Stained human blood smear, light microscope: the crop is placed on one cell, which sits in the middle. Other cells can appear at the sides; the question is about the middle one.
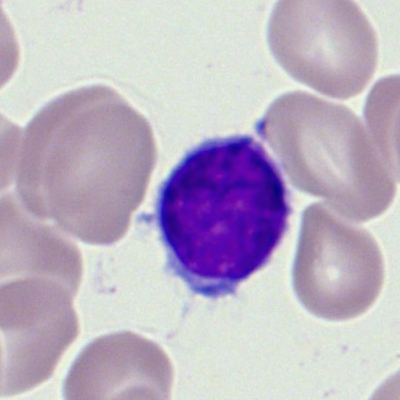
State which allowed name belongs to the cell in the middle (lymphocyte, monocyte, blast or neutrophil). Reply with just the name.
lymphocyte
